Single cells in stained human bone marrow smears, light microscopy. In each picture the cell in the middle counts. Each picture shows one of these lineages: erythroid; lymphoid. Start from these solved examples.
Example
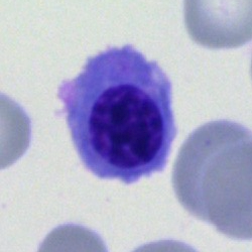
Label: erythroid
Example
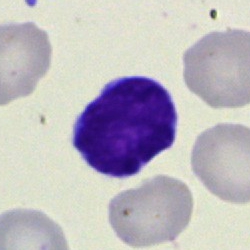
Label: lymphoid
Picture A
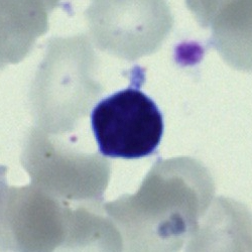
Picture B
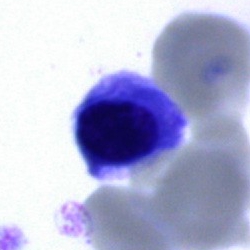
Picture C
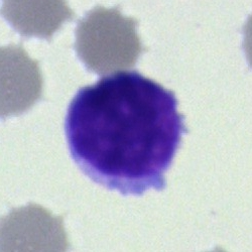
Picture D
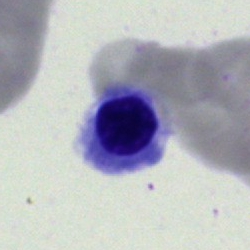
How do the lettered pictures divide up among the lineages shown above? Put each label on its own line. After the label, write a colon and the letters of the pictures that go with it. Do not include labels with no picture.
erythroid: B, D
lymphoid: A, C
